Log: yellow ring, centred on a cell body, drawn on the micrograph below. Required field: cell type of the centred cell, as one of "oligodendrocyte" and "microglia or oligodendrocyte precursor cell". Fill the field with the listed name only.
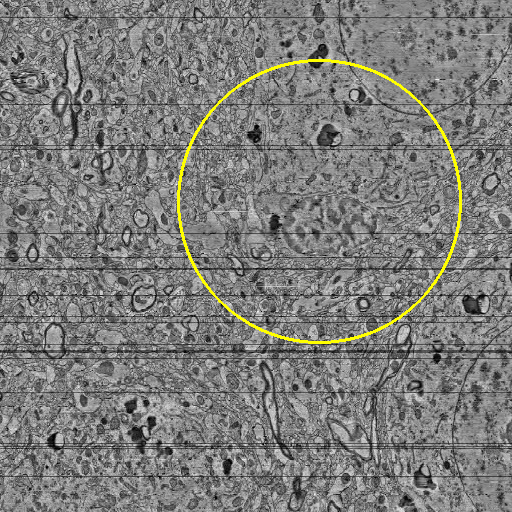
oligodendrocyte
